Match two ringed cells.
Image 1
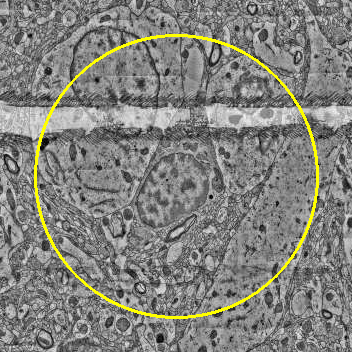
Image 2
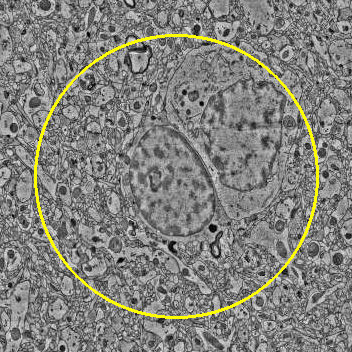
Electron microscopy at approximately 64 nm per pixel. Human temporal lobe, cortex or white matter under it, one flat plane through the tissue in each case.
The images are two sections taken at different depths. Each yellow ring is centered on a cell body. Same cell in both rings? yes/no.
no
